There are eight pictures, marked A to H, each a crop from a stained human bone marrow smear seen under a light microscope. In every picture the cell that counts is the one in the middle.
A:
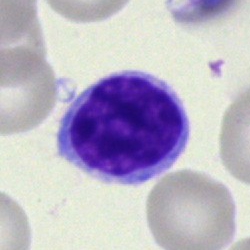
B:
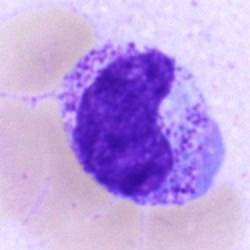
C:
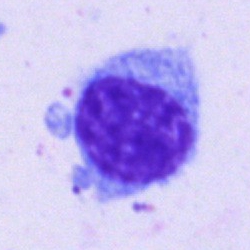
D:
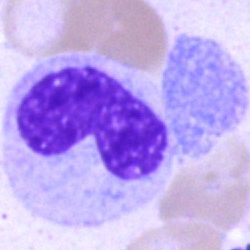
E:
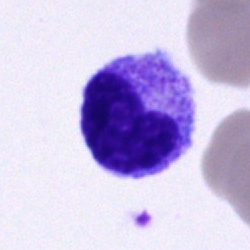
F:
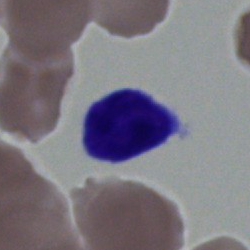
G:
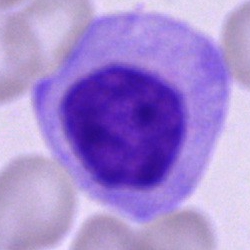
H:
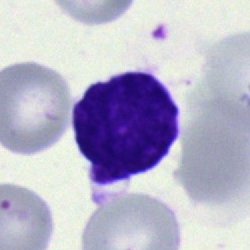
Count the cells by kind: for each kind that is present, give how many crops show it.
lymphocyte: 4
metamyelocyte: 4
